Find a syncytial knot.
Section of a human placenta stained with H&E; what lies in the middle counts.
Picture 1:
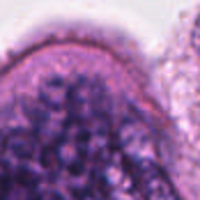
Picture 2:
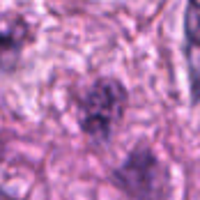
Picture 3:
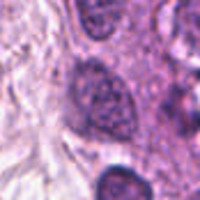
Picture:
1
